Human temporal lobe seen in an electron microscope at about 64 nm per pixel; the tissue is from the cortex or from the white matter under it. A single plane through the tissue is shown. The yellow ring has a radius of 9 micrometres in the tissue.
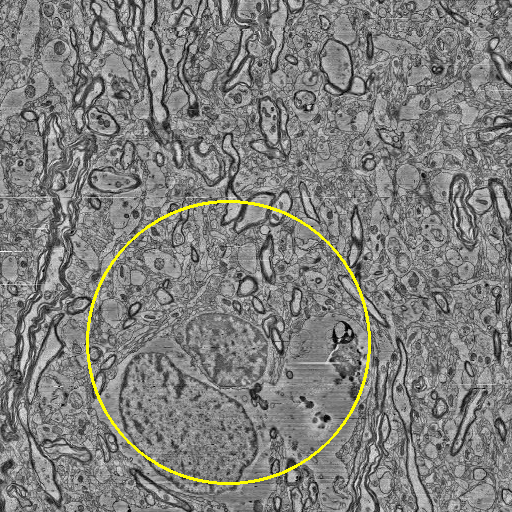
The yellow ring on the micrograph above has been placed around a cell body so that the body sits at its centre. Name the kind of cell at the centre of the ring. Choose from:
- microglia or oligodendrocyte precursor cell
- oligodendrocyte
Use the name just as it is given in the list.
oligodendrocyte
